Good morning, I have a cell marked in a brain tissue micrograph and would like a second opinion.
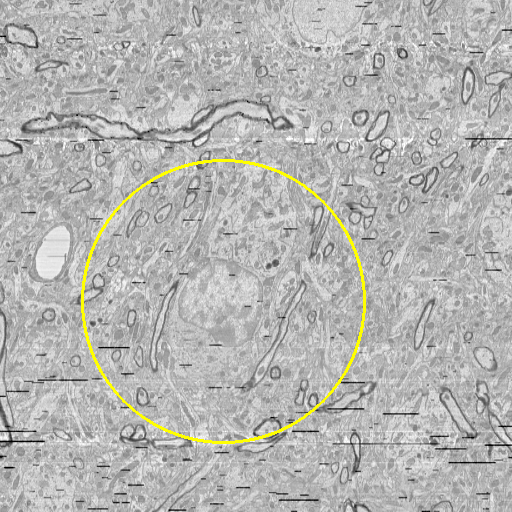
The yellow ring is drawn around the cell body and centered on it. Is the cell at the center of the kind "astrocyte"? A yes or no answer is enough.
no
